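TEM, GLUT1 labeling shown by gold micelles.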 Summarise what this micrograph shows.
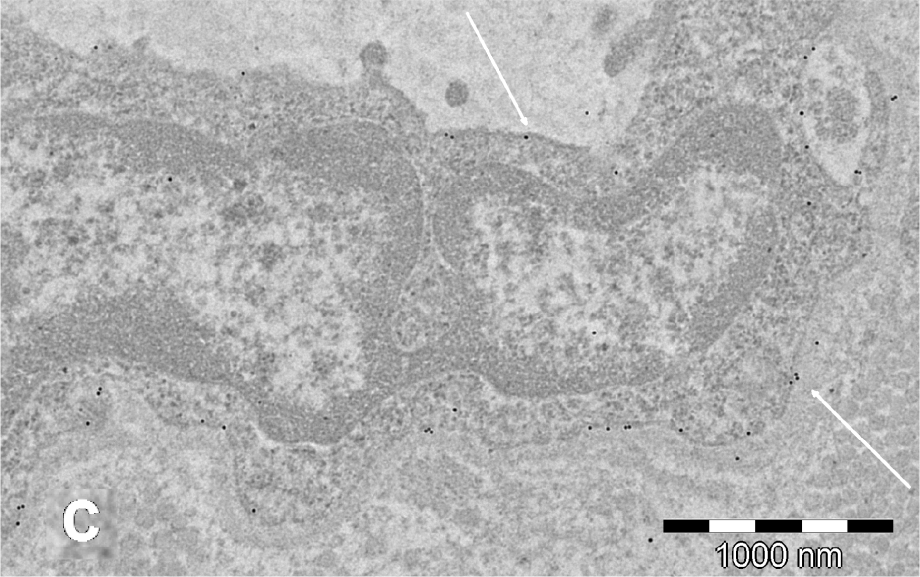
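An elongated vascular endothelial cell stretches across the field, with a pale space above it. Within the cell lies a long, sinuous, membrane-bounded profile with finely granular content. Small round black particles are scattered along the cell's outer borders.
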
